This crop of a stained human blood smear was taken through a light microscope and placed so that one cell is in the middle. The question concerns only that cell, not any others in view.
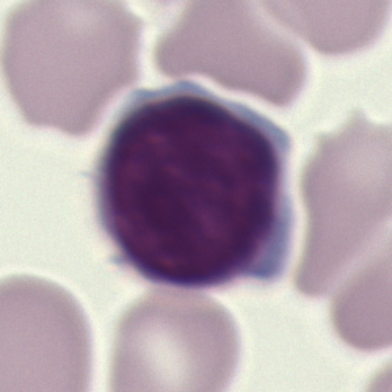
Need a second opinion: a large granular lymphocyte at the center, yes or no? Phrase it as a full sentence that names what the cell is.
No, the centre cell is not a large granular lymphocyte but a typical lymphocyte.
